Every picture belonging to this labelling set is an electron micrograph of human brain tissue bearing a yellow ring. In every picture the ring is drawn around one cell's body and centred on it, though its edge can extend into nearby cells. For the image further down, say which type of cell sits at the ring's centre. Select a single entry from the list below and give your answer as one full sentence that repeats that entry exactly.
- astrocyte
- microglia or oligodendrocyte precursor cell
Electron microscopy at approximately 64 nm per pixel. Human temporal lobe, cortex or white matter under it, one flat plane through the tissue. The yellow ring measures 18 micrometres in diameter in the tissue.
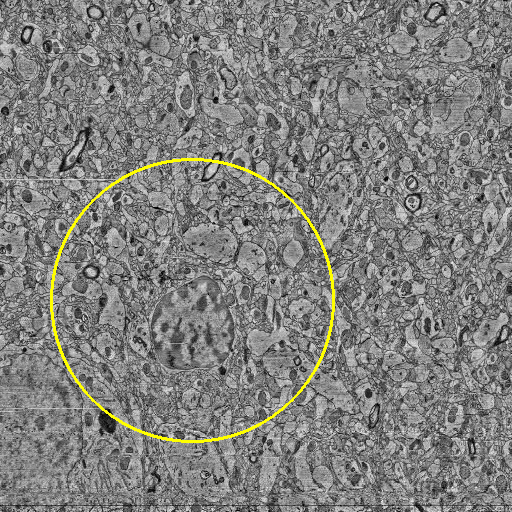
In the picture, a microglial cell or oligodendrocyte precursor cell is the cell at the centre of the yellow ring.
